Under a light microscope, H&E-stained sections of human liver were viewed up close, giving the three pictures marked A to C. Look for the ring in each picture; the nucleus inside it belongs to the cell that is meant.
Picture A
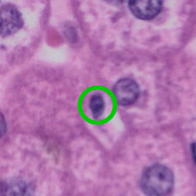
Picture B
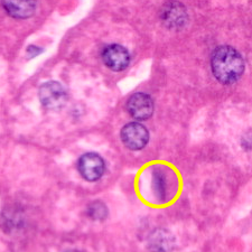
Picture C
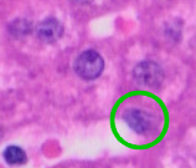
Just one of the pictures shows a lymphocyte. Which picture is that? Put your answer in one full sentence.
The cell in picture A is the lymphocyte.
